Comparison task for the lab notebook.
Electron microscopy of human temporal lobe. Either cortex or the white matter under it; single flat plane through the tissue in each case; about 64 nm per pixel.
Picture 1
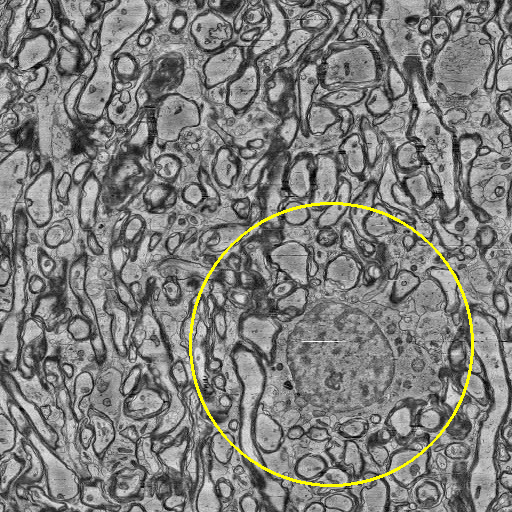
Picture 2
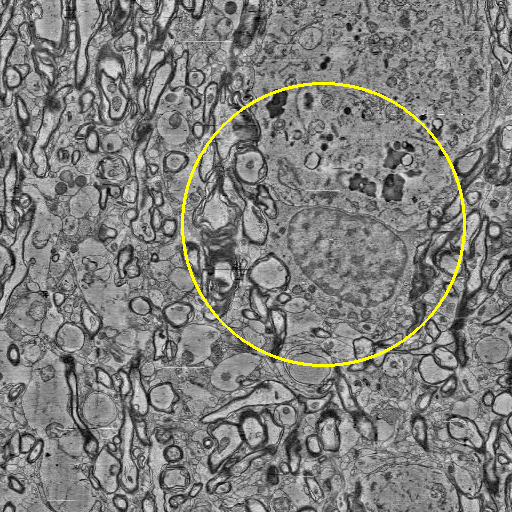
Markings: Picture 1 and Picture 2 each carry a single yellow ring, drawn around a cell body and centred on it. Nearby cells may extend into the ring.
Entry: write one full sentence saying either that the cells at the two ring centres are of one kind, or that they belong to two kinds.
The cells sitting at the ring centres in Picture 1 and Picture 2 are of one kind.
